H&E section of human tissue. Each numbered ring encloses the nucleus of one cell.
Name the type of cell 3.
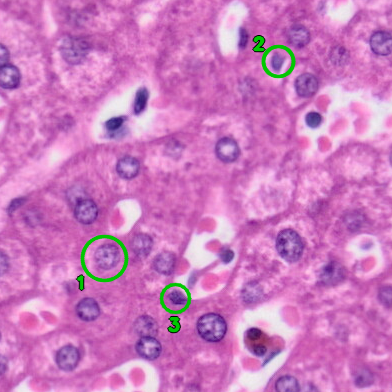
fibroblast or stellate cell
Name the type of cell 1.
hepatocyte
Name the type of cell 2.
lymphocyte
